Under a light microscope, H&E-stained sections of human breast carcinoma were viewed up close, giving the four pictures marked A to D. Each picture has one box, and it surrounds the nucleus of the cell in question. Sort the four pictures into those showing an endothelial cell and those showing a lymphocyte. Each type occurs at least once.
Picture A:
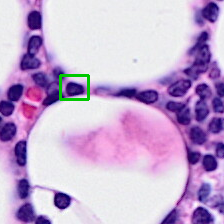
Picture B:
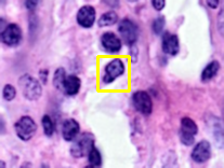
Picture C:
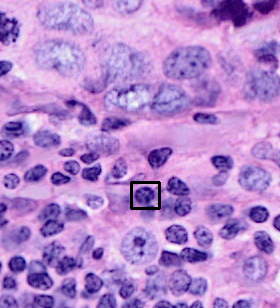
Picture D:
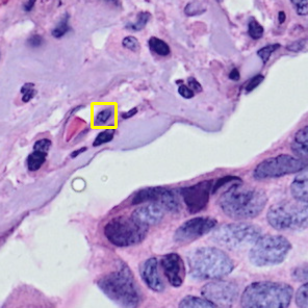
A: lymphocyte
B: lymphocyte
C: lymphocyte
D: endothelial cell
